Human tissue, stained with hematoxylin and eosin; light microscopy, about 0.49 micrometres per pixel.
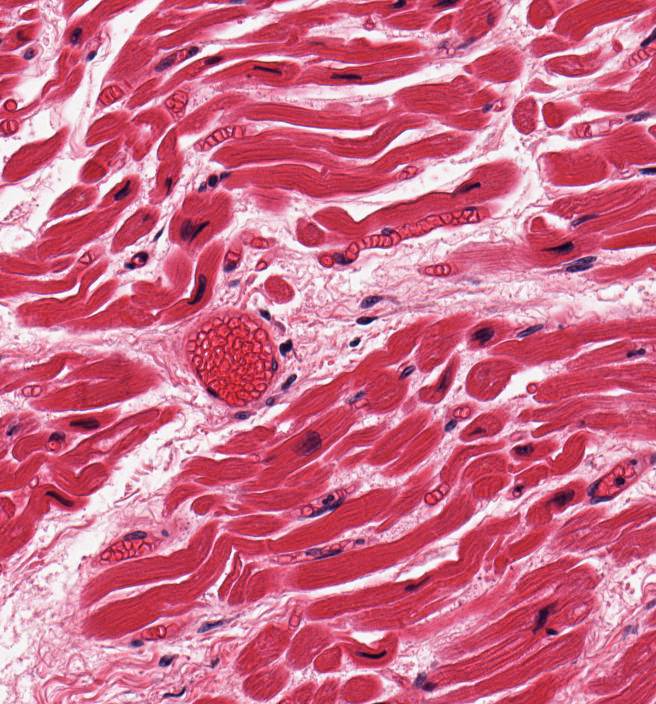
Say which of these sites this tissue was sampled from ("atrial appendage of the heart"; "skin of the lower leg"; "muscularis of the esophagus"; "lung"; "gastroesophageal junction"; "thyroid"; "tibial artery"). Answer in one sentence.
The site this tissue was sampled from is the atrial appendage of the heart.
